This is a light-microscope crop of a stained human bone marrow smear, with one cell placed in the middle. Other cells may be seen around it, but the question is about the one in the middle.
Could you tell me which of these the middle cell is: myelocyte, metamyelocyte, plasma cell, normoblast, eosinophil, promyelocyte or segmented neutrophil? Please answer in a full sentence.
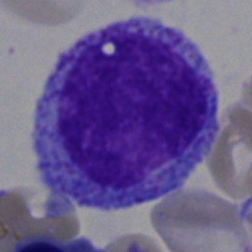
The centrally located cell in the crop is a promyelocyte.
